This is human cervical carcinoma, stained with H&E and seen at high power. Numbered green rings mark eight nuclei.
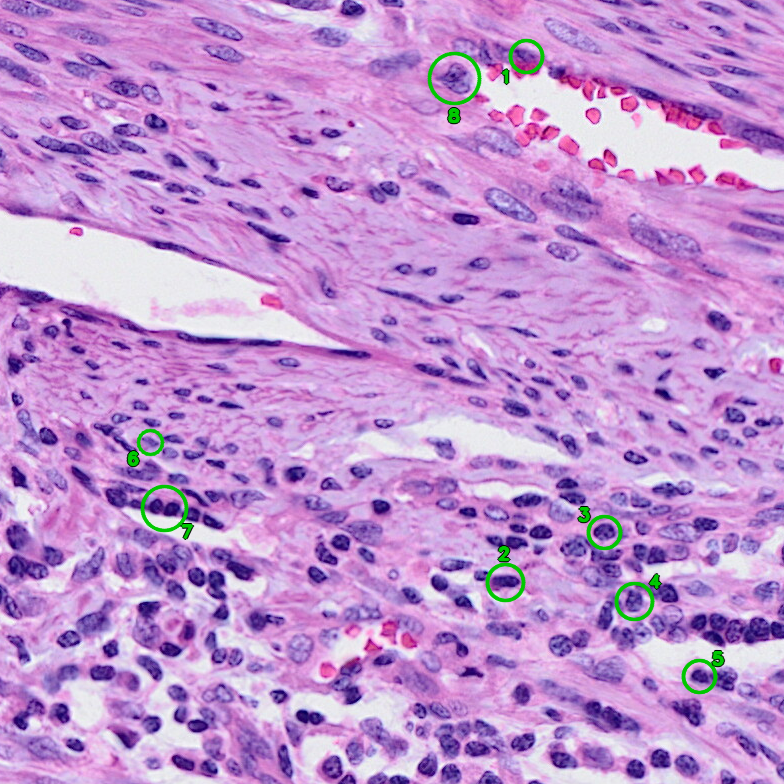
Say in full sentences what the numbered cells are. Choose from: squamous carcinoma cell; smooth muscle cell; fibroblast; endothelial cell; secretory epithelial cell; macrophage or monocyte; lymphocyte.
Cells 1 and 8 are endothelial cells. Cells 2, 3, 4, 5 and 7 are lymphocytes. Cell 6 is a fibroblast.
